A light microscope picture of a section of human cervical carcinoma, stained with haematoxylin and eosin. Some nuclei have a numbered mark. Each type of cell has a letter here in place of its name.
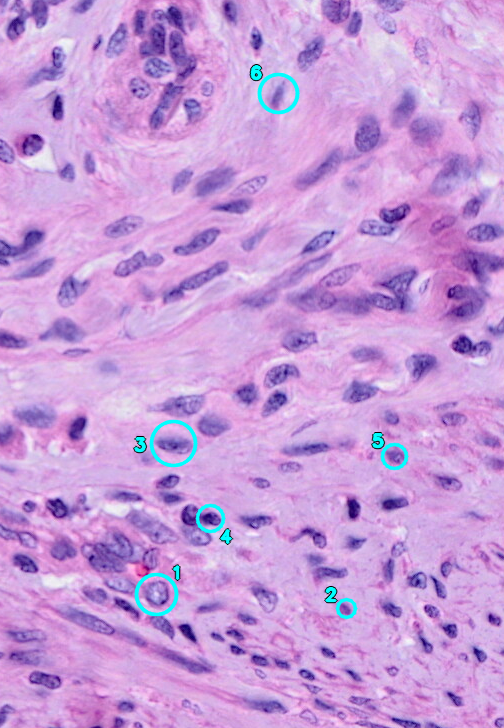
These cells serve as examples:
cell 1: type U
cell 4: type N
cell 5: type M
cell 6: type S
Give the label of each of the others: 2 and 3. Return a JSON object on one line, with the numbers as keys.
{"2": "type M", "3": "type S"}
